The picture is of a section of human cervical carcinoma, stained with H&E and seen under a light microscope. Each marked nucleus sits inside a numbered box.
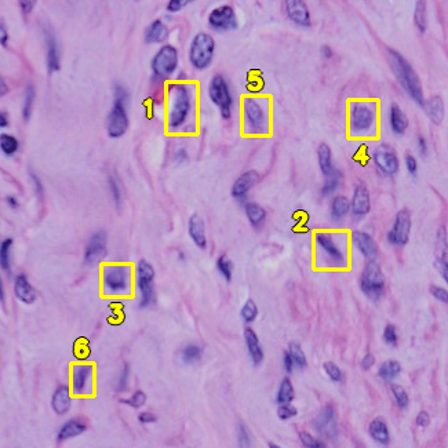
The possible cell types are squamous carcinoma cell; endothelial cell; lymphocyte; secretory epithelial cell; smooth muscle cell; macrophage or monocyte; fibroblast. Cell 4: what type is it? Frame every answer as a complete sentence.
To a smooth muscle cell belongs the nucleus marked 4.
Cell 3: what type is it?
Classified as a fibroblast is the cell with the number 3.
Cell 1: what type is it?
Within this field of view, the cell labelled 1 is an endothelial cell.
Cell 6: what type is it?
The numeral 6 marks a smooth muscle cell in this section.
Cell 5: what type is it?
The nucleus with number 5 is that of a smooth muscle cell.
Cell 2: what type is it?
Cell 2 in the field is a smooth muscle cell.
